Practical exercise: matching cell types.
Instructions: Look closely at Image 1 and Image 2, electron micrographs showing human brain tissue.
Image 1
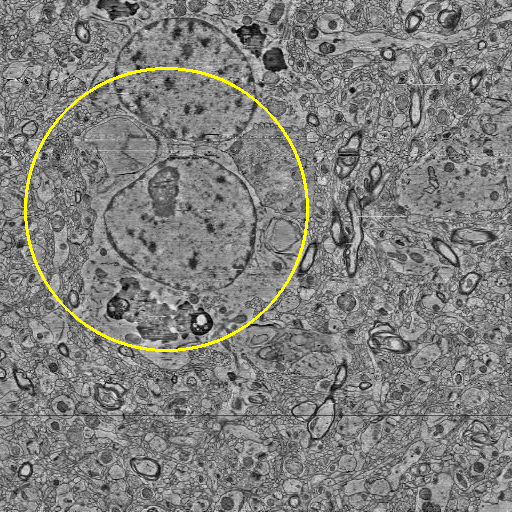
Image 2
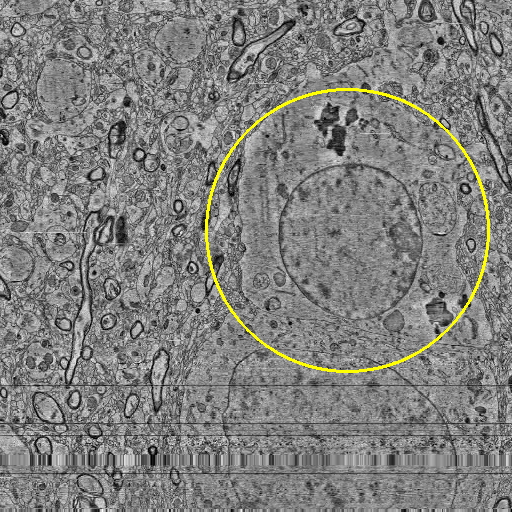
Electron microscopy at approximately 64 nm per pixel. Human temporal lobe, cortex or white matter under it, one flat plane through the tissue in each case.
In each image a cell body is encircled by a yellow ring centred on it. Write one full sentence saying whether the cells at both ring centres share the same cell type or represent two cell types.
Across Image 1 and Image 2, the cells at the ring centres share the same cell type.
